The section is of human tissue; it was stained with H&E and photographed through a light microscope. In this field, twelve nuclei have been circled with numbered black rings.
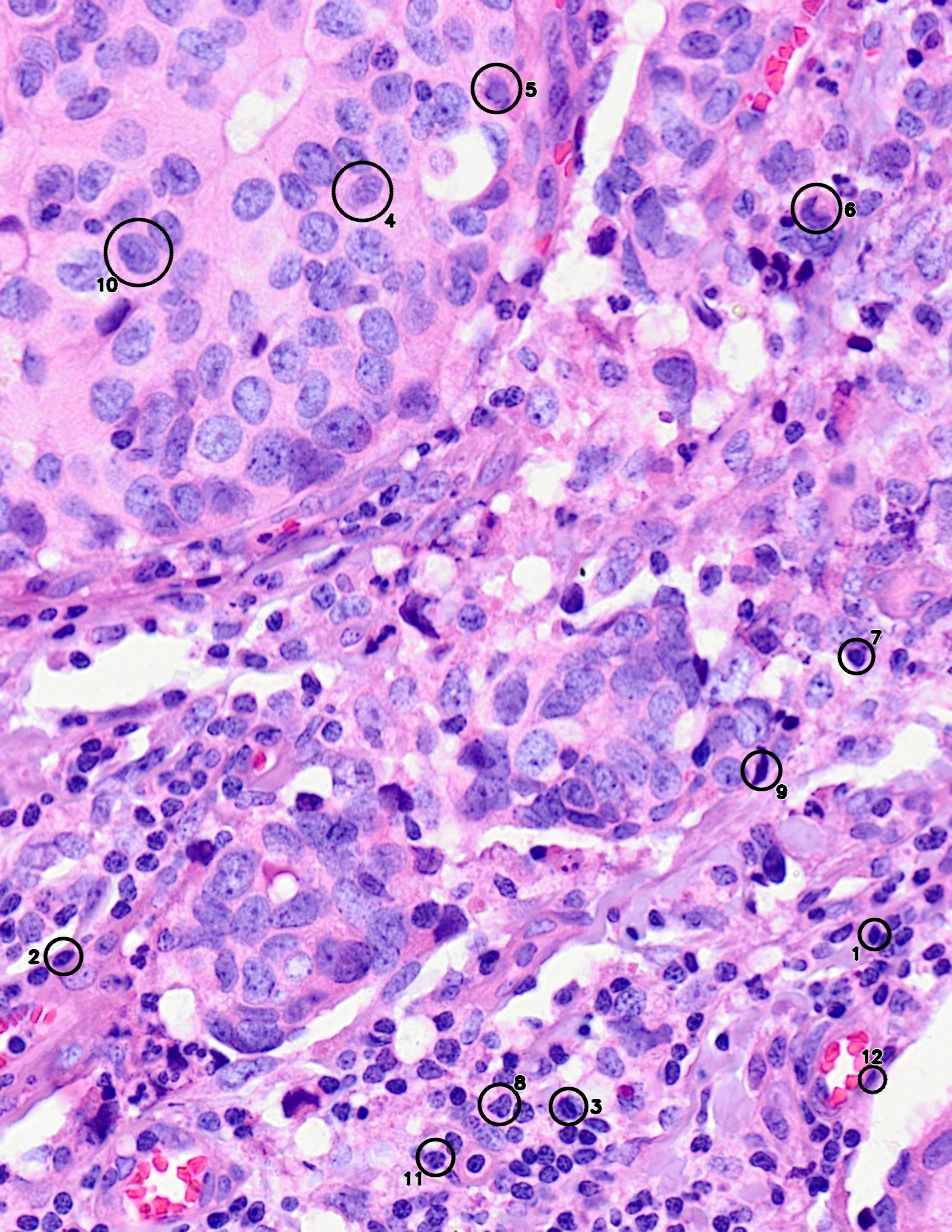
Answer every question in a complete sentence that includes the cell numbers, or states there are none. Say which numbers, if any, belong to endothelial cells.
Nothing but cell 12 is an endothelial cell among the numbered ones.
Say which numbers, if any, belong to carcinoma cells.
Cells 4, 5, 6, 9 and 10 share one type; they are carcinoma cells.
